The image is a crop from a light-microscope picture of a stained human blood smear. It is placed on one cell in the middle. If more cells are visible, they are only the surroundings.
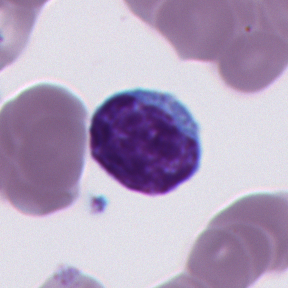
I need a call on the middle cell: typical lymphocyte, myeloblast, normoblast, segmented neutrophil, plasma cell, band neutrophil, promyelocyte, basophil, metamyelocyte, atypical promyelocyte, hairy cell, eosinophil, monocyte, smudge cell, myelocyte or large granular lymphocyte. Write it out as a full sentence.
Here the cell in the middle is a typical lymphocyte.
